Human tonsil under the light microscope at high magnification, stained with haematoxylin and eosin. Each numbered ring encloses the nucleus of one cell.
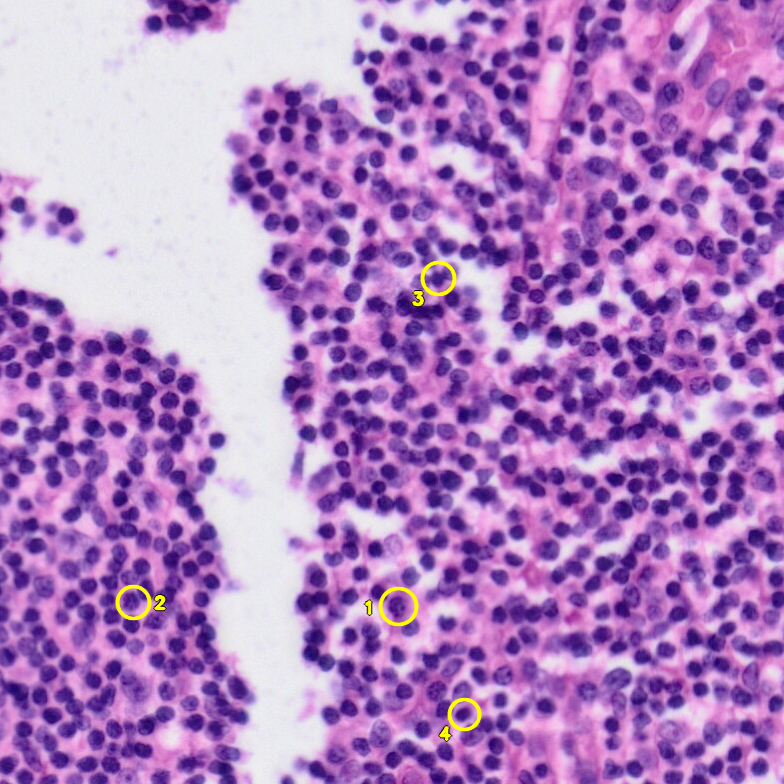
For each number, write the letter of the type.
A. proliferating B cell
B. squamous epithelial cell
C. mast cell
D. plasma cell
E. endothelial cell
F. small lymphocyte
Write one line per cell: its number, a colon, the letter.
1: D
2: F
3: F
4: F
